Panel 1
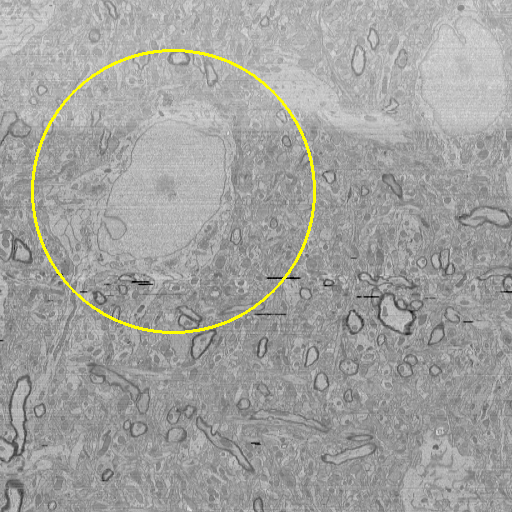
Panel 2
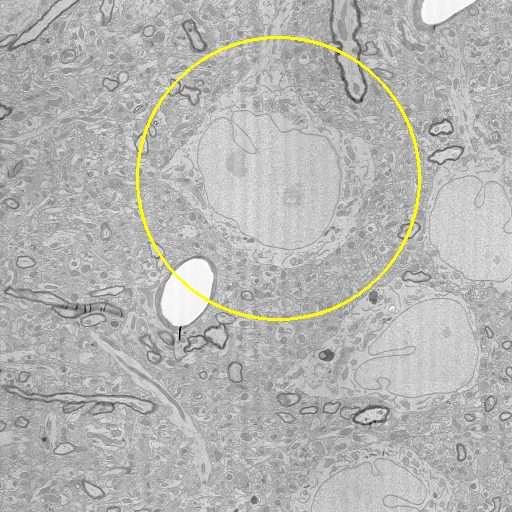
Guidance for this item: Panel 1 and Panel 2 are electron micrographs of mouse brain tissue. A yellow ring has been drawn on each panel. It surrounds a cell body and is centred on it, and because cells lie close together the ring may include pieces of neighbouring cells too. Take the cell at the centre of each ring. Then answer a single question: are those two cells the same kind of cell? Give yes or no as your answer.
yes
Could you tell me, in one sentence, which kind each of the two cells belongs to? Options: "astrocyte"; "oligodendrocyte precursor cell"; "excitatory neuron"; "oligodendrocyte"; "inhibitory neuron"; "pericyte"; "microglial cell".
In each picture the ringed cell is an excitatory neuron.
